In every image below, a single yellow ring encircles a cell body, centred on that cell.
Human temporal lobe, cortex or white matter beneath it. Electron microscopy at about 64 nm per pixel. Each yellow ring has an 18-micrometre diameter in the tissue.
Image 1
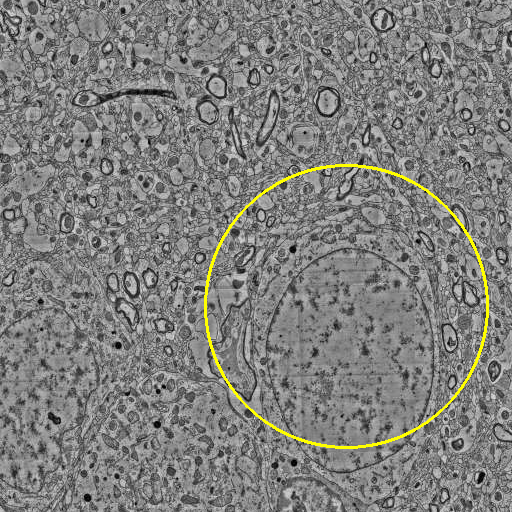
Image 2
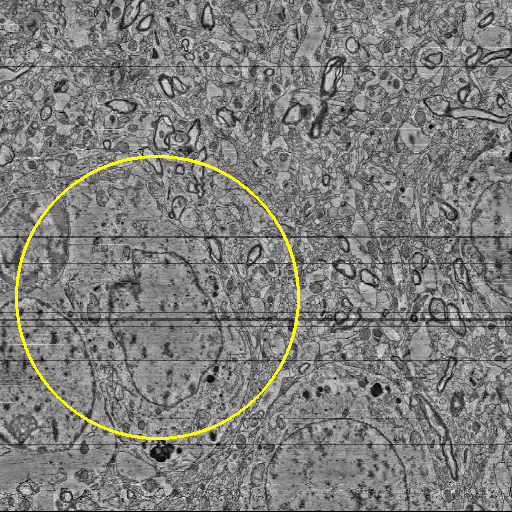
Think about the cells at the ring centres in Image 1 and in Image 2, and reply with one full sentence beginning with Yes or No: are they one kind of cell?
Yes, the cells centred in the rings of Image 1 and Image 2 are one kind of cell.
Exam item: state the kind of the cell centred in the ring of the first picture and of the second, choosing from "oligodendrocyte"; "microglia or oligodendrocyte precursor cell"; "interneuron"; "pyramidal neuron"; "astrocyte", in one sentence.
The cell at the ring centre is a pyramidal neuron in both pictures.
